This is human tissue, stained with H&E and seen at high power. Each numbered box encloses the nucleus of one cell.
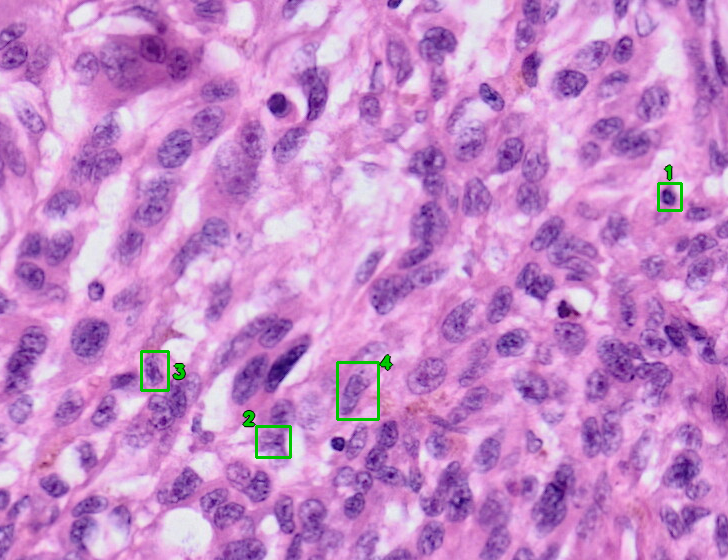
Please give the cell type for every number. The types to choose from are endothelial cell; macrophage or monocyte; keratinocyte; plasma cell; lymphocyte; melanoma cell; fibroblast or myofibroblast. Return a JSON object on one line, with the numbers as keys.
{"1": "lymphocyte", "2": "melanoma cell", "3": "melanoma cell", "4": "melanoma cell"}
